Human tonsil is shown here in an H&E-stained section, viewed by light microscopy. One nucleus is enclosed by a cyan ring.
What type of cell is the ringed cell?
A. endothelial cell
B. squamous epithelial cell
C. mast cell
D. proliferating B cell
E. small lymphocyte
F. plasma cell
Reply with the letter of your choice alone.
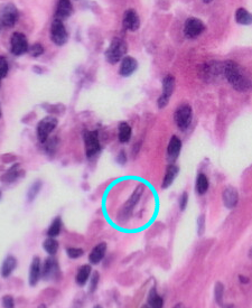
A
